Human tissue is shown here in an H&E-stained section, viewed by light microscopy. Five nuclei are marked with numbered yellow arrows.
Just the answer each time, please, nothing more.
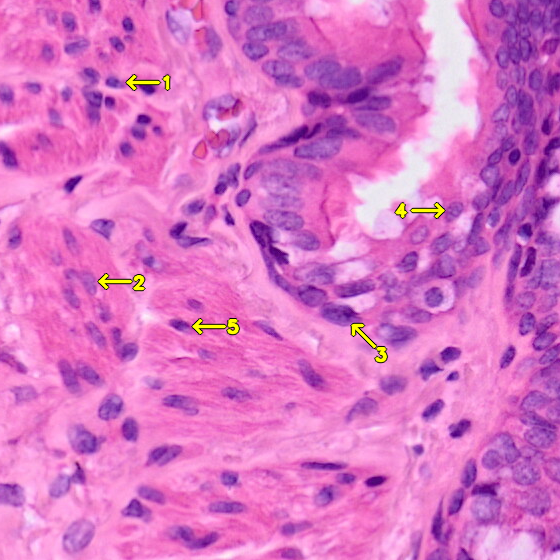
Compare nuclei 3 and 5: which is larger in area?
3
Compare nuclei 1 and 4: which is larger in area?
4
